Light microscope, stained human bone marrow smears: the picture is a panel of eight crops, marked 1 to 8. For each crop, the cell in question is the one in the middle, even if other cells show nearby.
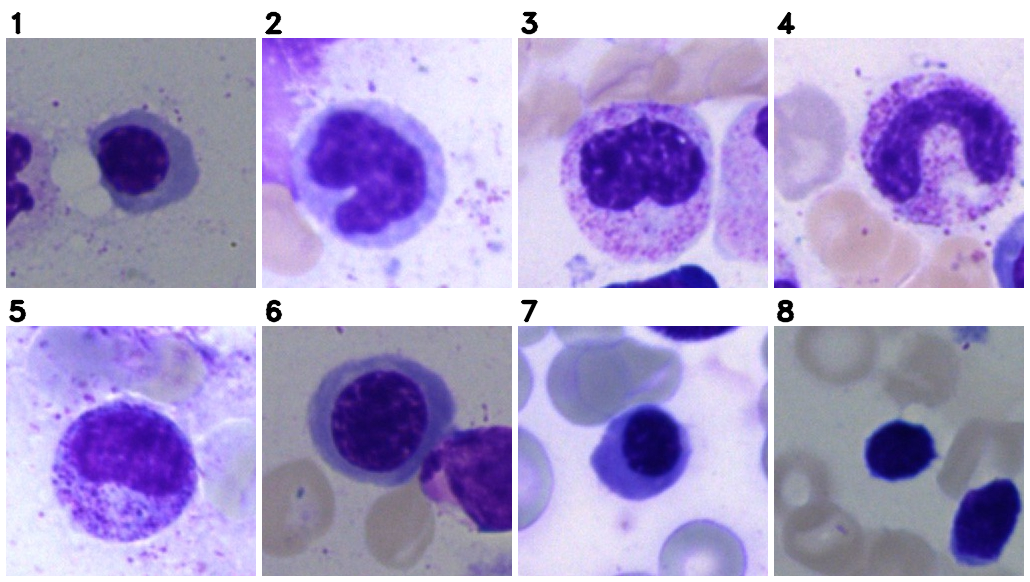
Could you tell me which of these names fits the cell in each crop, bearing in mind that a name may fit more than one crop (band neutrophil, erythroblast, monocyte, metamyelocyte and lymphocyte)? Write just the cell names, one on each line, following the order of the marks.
erythroblast
monocyte
metamyelocyte
band neutrophil
metamyelocyte
erythroblast
erythroblast
lymphocyte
